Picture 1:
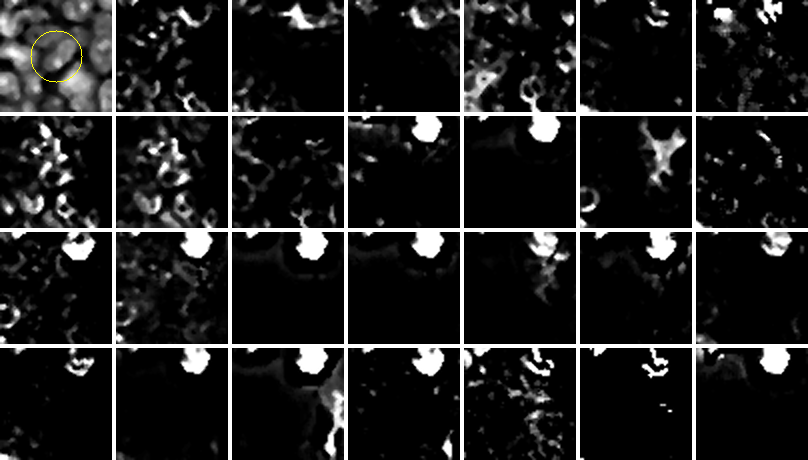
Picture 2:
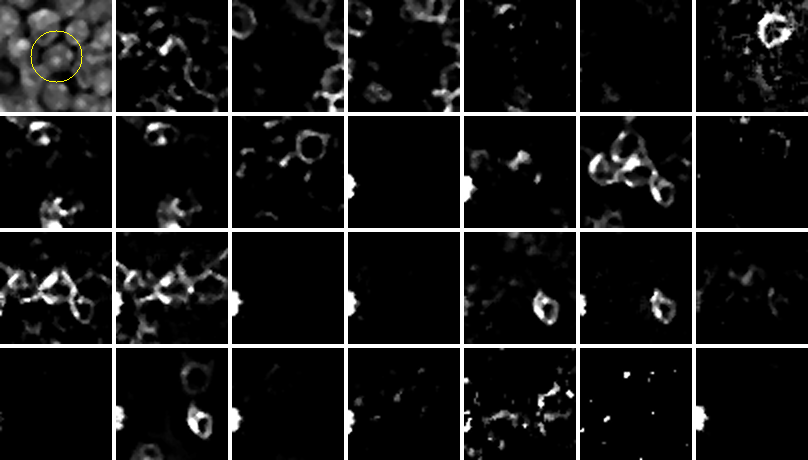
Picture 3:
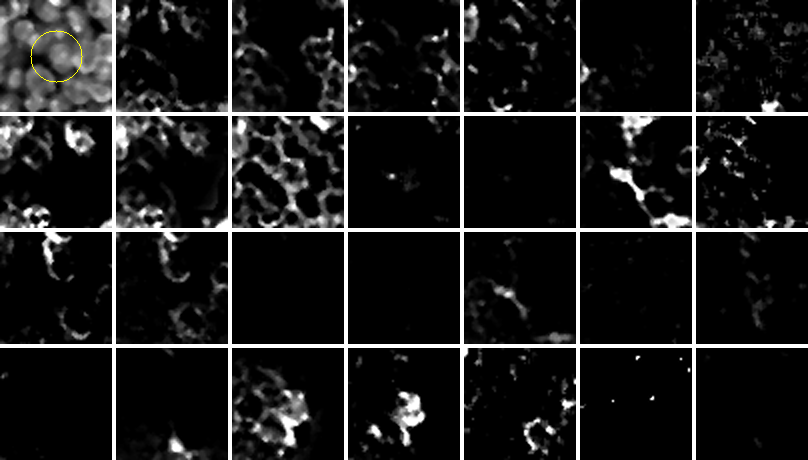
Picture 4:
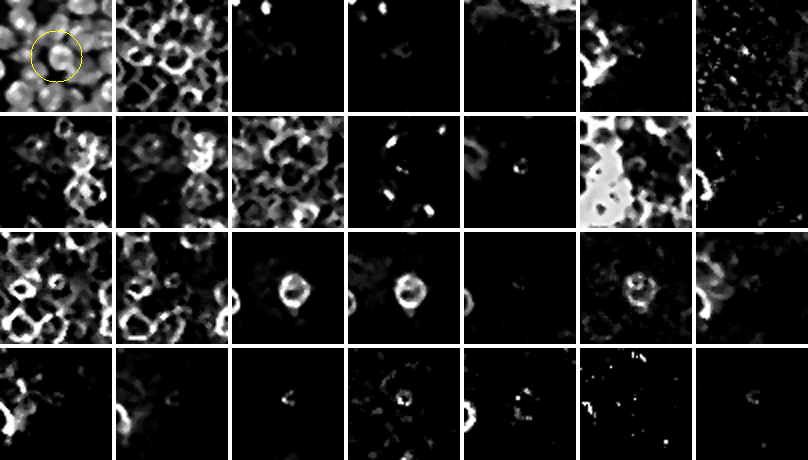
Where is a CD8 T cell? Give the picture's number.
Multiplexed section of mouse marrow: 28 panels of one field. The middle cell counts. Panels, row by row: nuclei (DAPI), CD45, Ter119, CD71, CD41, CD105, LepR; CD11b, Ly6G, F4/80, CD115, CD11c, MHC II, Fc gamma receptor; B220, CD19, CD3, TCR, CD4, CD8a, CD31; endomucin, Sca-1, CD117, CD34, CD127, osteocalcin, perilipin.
4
